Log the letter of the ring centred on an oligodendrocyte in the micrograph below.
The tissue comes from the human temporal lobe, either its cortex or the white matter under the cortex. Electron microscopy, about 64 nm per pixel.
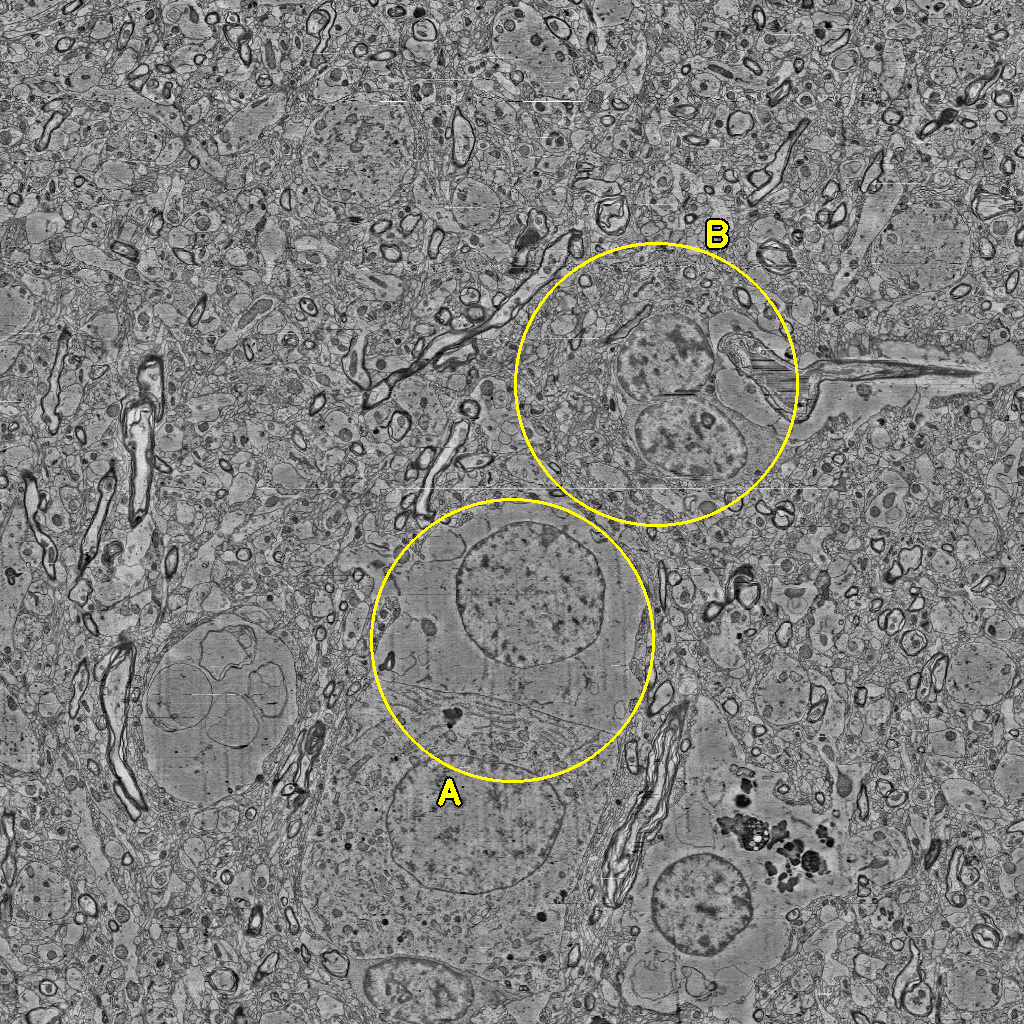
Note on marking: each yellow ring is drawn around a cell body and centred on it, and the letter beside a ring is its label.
B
